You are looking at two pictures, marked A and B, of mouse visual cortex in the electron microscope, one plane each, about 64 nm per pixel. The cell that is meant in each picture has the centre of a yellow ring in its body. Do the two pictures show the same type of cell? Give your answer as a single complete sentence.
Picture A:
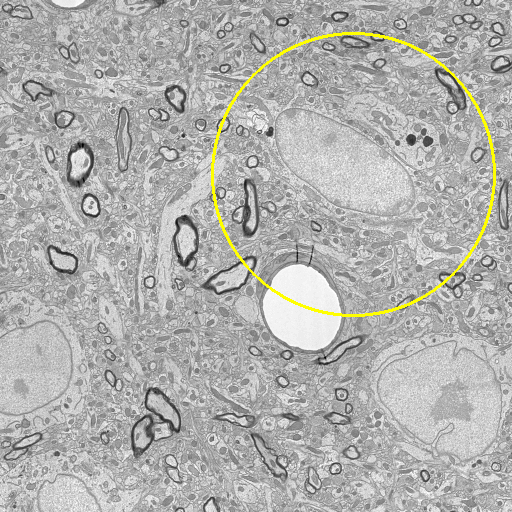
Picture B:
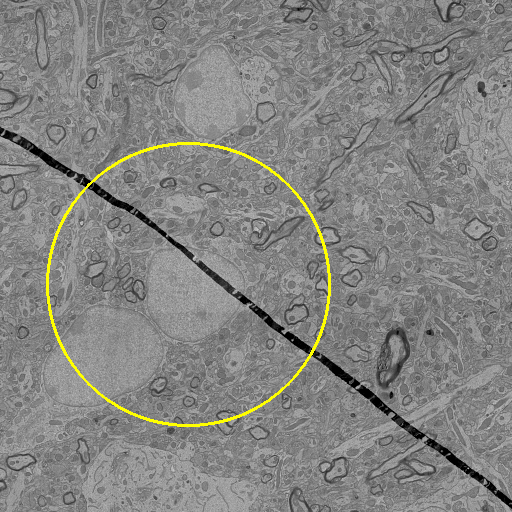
Yes, both cells are astrocytes.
